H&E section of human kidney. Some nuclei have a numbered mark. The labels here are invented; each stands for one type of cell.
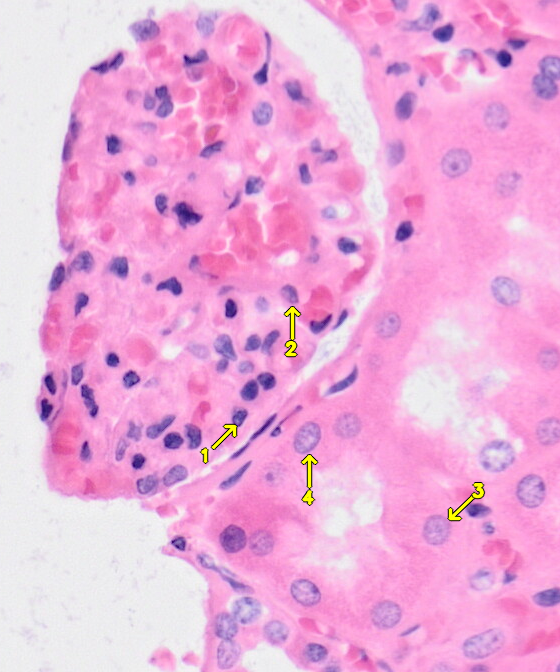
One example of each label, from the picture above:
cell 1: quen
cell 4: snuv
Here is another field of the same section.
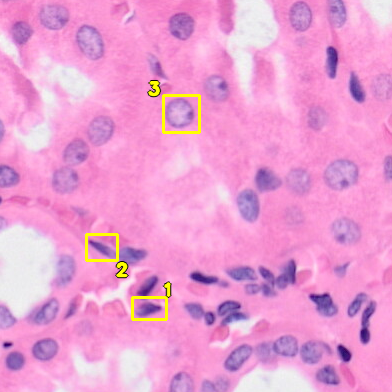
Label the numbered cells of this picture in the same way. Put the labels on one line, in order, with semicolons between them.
quen; quen; snuv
